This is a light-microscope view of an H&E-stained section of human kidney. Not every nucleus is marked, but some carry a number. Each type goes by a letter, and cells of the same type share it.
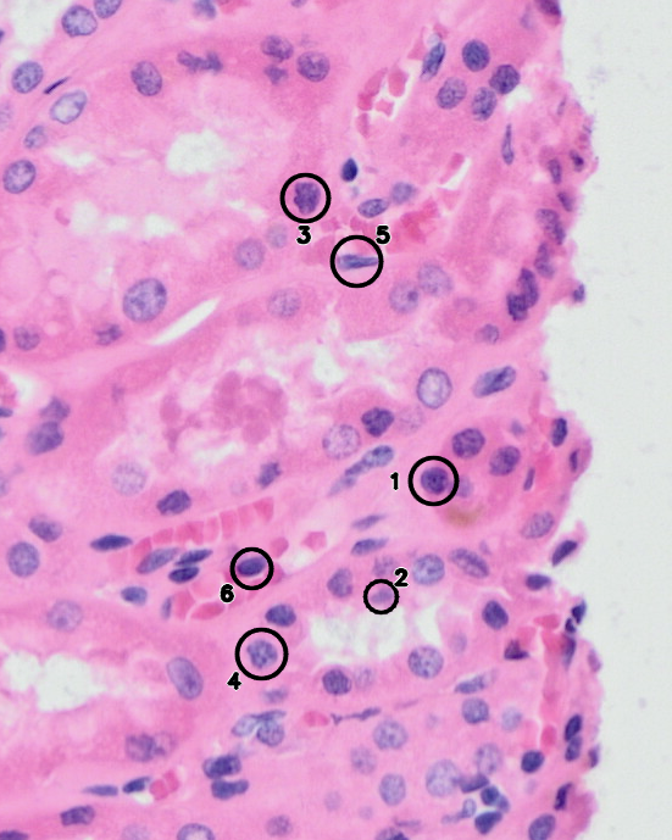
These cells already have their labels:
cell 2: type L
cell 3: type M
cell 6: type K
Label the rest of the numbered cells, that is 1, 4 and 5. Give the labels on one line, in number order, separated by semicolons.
type M; type L; type K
